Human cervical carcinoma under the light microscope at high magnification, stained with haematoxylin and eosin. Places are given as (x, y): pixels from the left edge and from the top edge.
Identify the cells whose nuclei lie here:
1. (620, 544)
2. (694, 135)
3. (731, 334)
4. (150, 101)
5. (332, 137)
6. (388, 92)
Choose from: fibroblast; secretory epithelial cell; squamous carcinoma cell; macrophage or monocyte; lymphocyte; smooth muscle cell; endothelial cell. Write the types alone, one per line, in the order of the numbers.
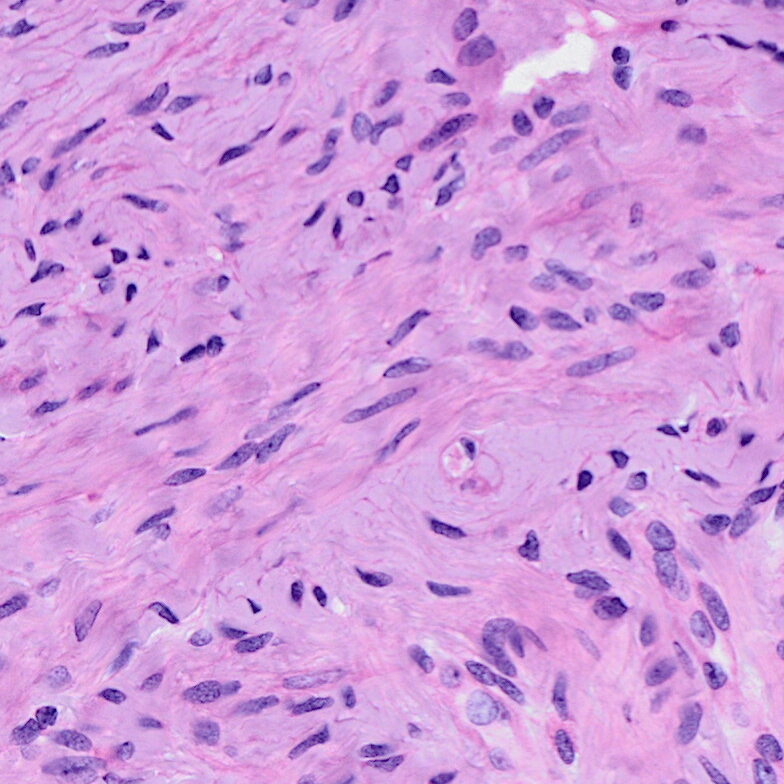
fibroblast
fibroblast
fibroblast
fibroblast
smooth muscle cell
smooth muscle cell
